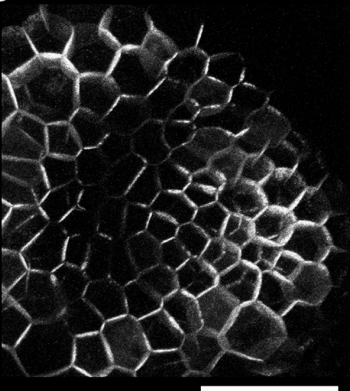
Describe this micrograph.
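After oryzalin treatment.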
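This is a surface view of the meristem epidermis: a sheet of polygonal cells, mostly five- and six-sided, whose outlines glow bright against dark interiors. The brightness is uneven around each cell, some sides strong and others faint, and toward the right edge of the dome the outlines grow dim and the tissue fades out.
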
